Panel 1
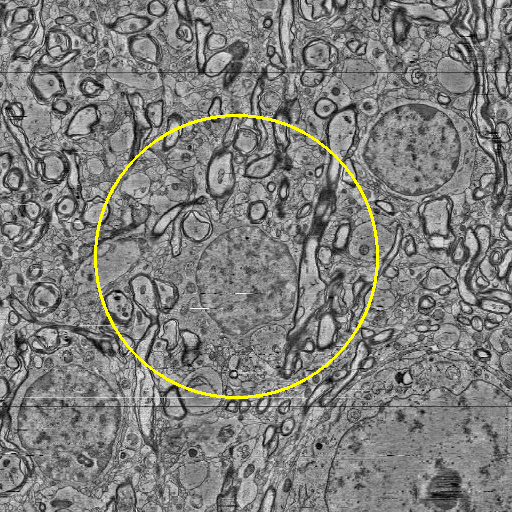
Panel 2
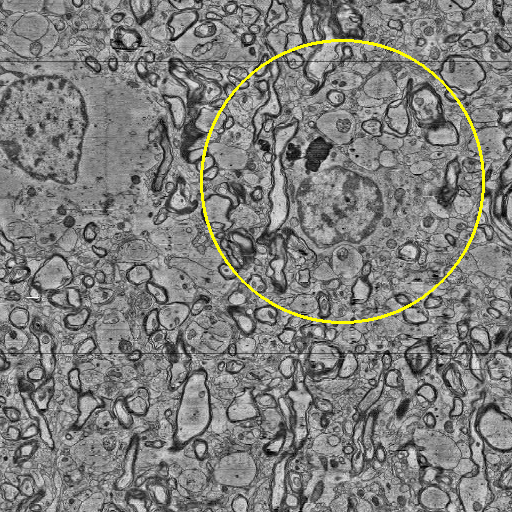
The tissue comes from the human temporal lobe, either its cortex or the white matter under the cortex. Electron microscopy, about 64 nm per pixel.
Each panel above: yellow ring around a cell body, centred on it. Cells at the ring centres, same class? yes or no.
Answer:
yes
